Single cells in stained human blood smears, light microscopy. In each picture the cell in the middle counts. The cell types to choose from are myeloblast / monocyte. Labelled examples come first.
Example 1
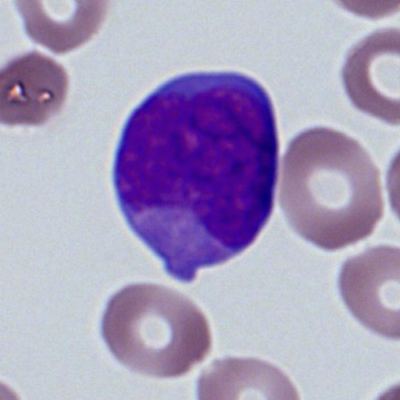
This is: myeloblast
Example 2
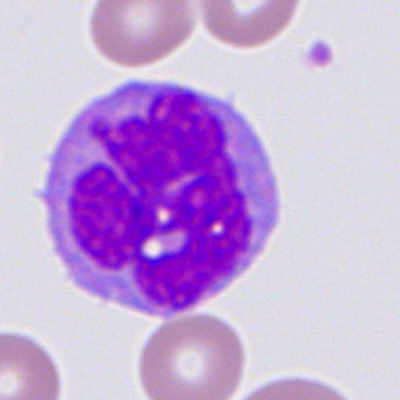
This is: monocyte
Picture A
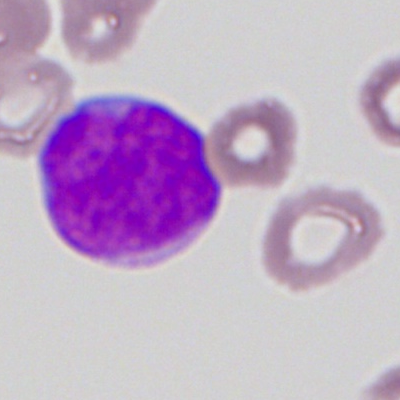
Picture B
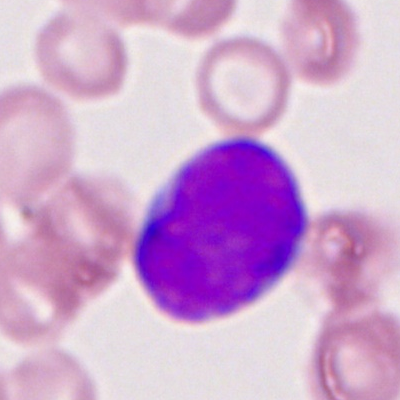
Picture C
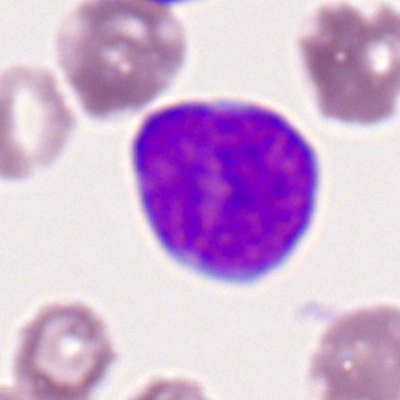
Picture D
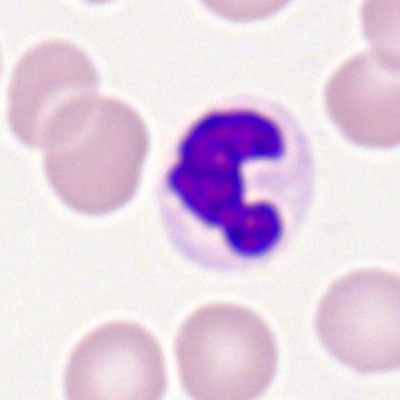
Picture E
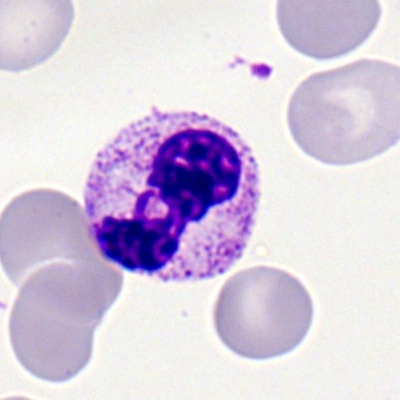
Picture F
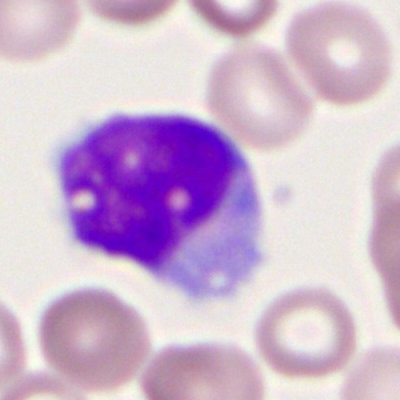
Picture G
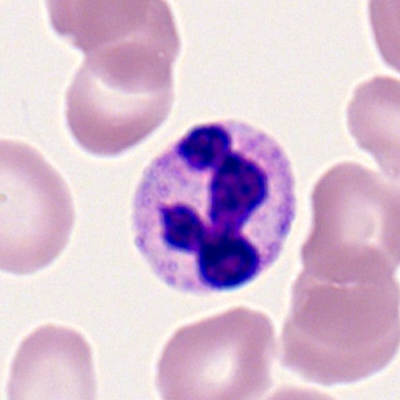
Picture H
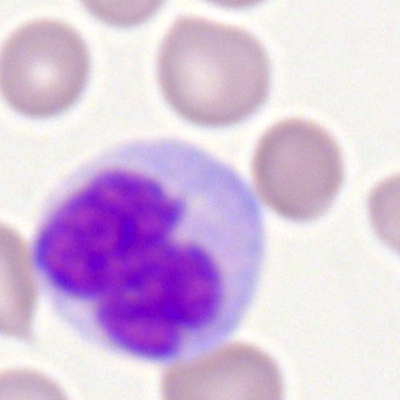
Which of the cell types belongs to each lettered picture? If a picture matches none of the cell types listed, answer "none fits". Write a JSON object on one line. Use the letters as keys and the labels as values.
{"A": "myeloblast", "B": "myeloblast", "C": "myeloblast", "D": "none fits", "E": "none fits", "F": "monocyte", "G": "none fits", "H": "monocyte"}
